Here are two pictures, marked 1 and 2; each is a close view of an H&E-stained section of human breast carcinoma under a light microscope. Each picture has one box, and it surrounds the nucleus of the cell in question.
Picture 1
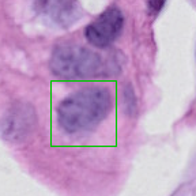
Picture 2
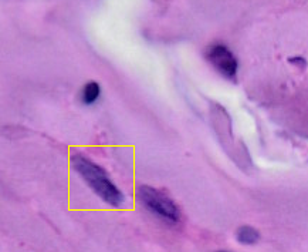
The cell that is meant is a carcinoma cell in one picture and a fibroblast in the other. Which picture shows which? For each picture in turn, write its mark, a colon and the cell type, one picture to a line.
1: carcinoma cell
2: fibroblast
